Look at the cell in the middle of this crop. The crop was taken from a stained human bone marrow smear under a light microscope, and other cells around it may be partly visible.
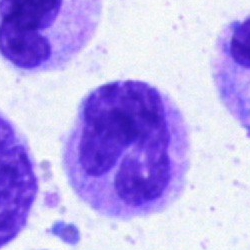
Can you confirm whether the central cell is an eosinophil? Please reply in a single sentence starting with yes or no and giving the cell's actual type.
No, the cell in the centre is to be called a segmented neutrophil instead of an eosinophil.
